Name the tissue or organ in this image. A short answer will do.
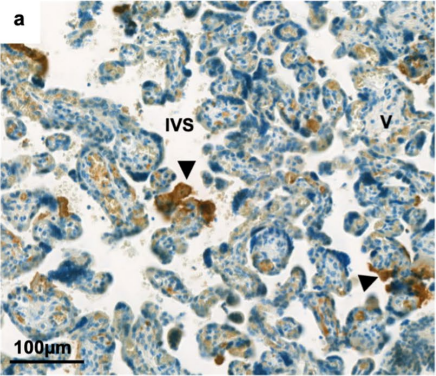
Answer: placenta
